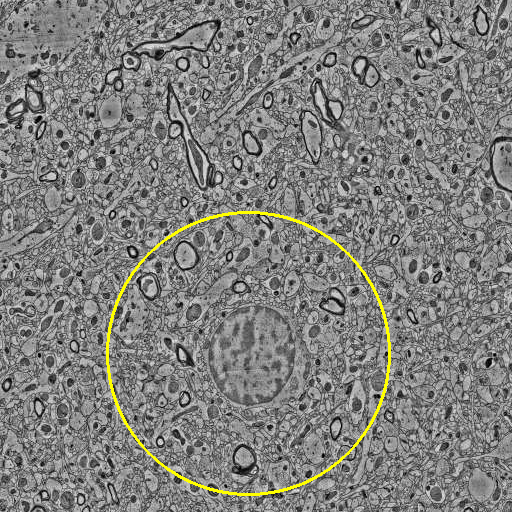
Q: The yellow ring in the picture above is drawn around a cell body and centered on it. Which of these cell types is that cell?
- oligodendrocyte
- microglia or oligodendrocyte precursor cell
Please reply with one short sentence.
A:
The cell body at the ring's center belongs to an oligodendrocyte.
